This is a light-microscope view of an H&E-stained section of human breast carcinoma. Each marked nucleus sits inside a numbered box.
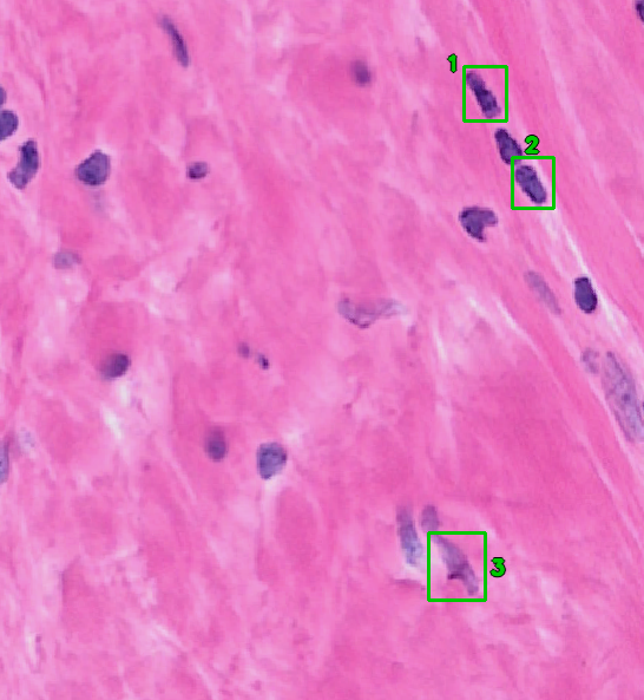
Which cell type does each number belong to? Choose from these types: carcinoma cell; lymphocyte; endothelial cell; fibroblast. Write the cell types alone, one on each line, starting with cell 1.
lymphocyte
lymphocyte
fibroblast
